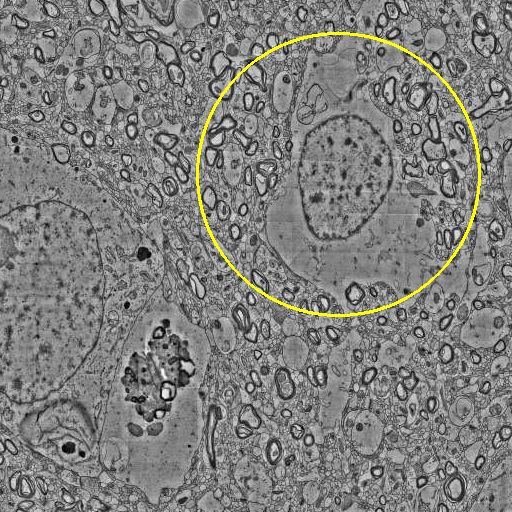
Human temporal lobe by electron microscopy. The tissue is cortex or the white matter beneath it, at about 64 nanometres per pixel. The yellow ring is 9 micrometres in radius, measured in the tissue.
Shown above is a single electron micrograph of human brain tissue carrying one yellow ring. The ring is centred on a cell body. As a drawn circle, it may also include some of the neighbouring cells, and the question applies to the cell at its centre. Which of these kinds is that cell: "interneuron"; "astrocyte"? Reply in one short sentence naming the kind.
The cell marked by the ring is an astrocyte.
